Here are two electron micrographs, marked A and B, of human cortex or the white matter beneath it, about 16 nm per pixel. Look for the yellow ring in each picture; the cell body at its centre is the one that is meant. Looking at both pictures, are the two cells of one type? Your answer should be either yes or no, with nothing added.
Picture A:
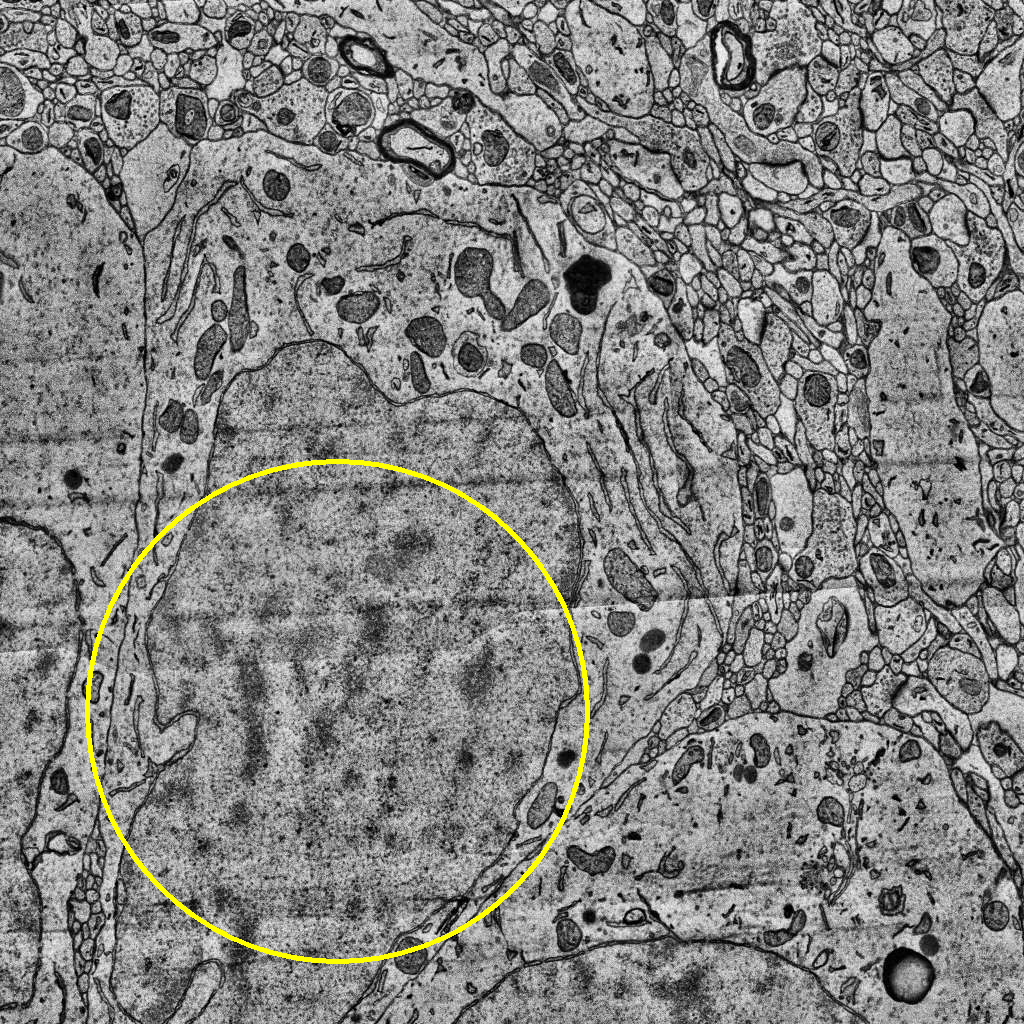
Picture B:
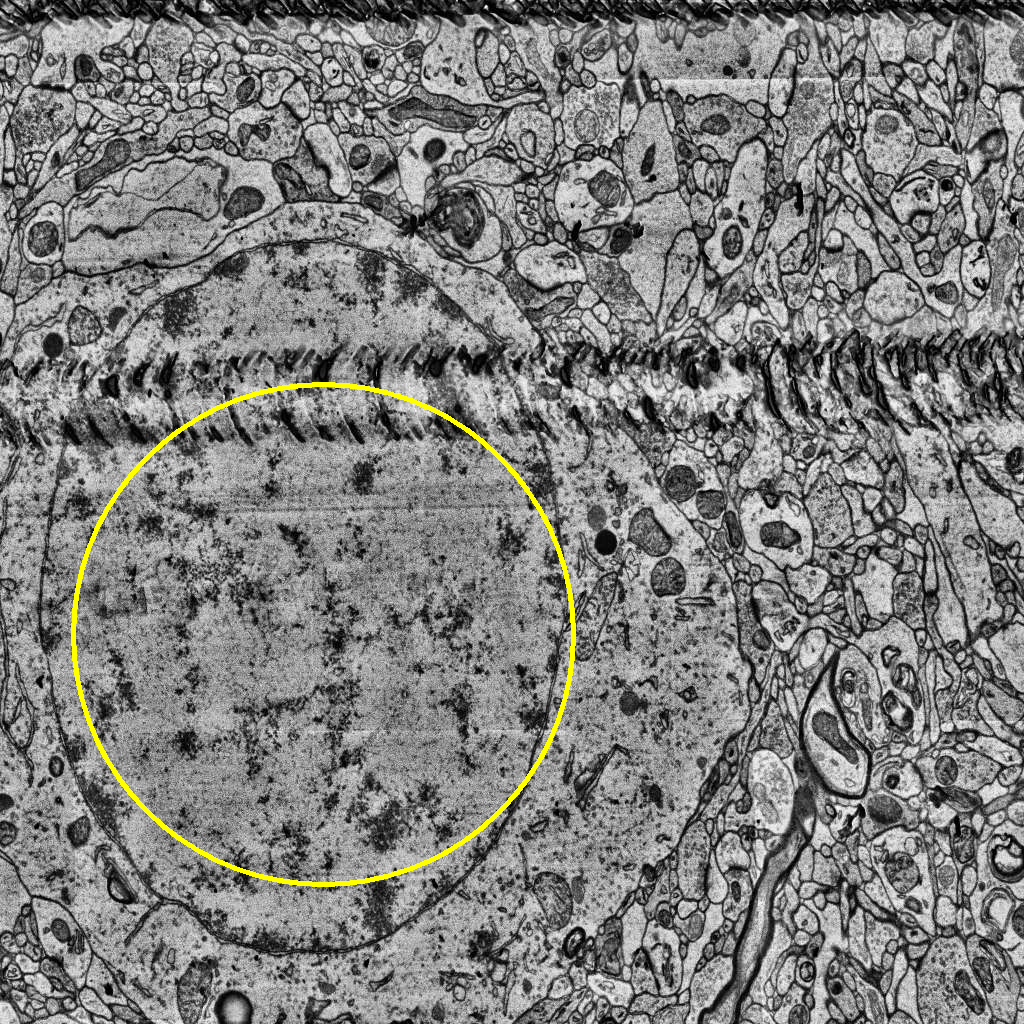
no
